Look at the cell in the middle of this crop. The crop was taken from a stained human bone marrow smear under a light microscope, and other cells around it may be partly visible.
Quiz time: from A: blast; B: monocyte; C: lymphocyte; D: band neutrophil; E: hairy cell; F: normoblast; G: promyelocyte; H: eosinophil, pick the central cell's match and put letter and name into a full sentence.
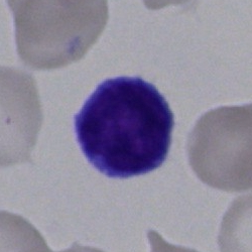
Option C is correct in naming the middle cell a lymphocyte.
